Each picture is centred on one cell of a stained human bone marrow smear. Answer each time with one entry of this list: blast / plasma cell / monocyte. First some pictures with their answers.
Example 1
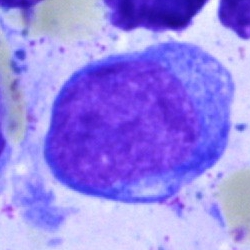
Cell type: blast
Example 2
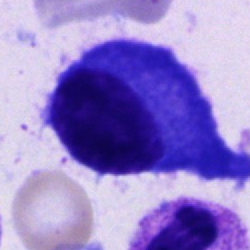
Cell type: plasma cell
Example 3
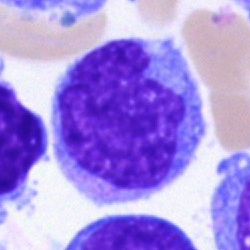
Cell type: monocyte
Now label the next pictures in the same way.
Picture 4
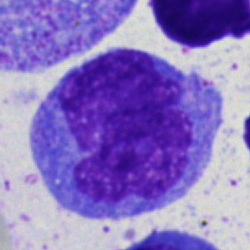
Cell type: monocyte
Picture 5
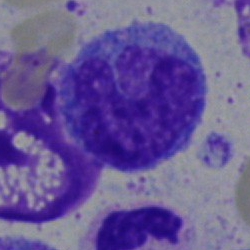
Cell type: monocyte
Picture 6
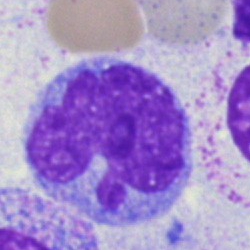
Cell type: monocyte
